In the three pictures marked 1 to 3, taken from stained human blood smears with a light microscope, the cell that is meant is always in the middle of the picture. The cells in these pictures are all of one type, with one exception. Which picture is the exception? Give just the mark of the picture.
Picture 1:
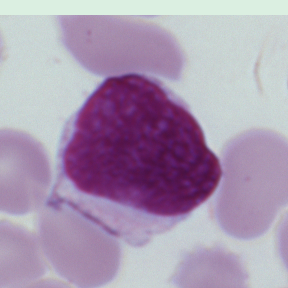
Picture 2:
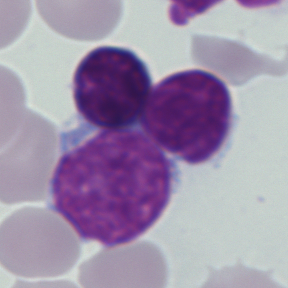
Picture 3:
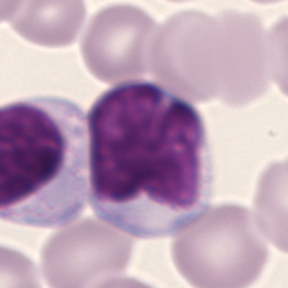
3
